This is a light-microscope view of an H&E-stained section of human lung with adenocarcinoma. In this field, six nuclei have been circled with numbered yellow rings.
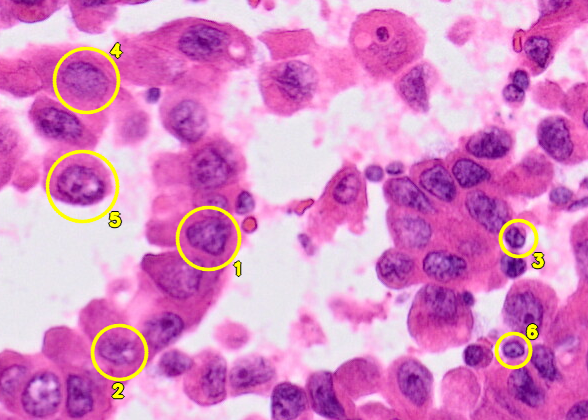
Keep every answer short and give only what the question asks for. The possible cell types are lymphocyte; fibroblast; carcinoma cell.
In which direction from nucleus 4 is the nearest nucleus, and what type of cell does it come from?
a carcinoma cell, below and to the left of nucleus 4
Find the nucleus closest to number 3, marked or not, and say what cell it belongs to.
lymphocyte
